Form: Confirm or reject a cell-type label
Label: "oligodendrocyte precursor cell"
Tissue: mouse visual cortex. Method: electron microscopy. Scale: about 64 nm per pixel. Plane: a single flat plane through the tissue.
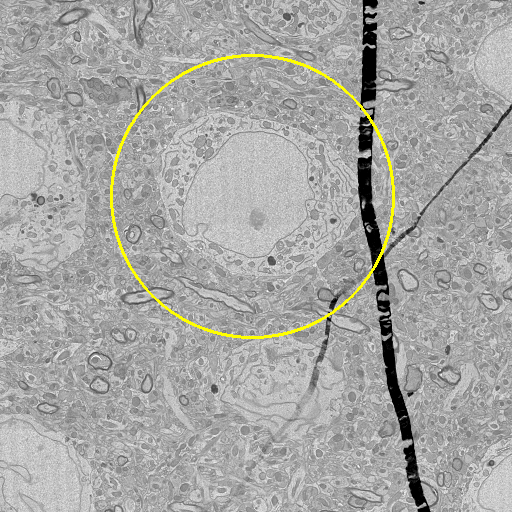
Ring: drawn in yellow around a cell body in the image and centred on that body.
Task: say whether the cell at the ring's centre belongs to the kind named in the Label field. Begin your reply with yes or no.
No, it belongs to another kind.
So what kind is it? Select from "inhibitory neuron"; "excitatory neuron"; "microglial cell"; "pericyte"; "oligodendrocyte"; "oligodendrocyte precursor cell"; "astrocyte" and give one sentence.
So the cell at the centre is an inhibitory neuron.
